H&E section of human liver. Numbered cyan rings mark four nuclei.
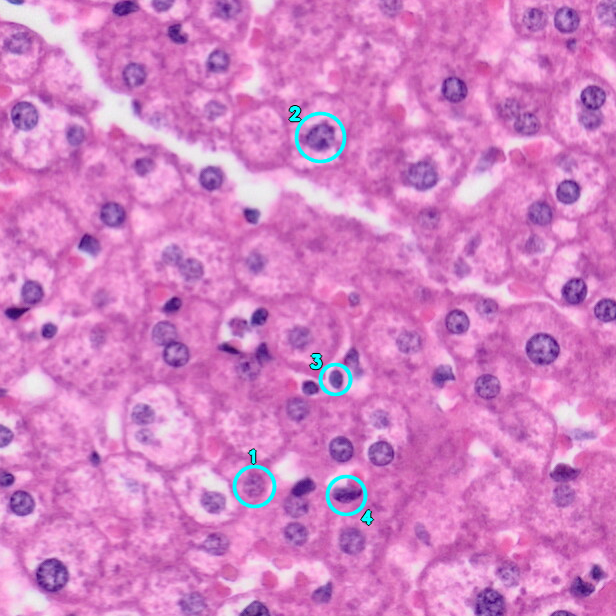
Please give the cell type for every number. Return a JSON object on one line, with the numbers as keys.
{"1": "hepatocyte", "2": "hepatocyte", "3": "lymphocyte", "4": "endothelial cell"}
